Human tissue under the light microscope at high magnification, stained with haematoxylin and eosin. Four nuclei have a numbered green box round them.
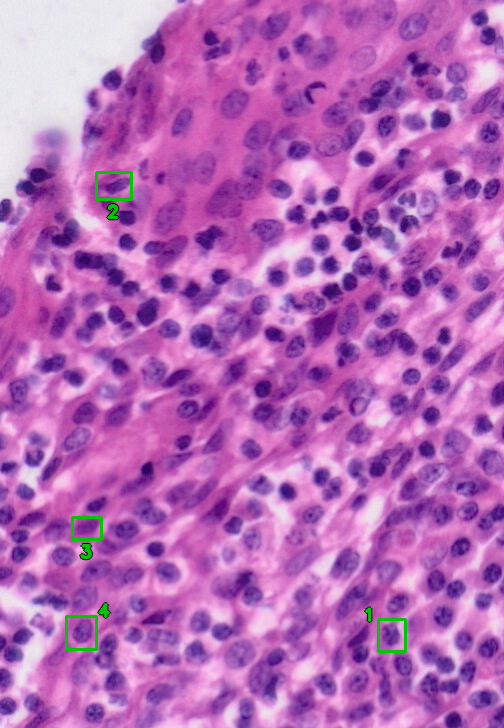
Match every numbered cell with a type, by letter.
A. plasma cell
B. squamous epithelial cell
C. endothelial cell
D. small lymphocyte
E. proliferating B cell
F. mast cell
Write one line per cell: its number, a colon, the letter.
1: A
2: B
3: B
4: B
